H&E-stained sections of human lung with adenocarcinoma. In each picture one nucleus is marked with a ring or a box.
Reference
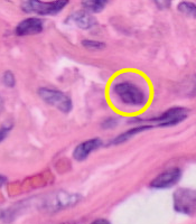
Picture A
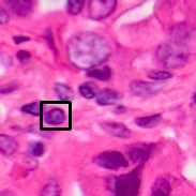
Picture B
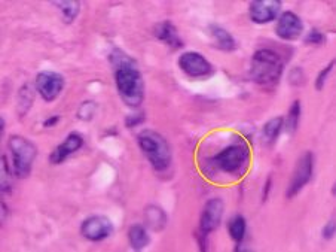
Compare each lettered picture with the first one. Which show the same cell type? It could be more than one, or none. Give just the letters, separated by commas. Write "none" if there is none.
B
